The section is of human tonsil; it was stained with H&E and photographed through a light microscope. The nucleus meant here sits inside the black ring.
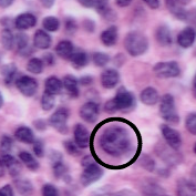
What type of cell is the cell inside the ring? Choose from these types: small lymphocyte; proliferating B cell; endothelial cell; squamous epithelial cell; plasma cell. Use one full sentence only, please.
At the level of cell identity, the cell inside the ring is a proliferating B cell.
